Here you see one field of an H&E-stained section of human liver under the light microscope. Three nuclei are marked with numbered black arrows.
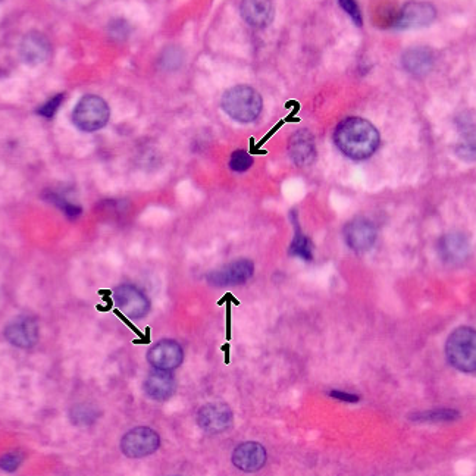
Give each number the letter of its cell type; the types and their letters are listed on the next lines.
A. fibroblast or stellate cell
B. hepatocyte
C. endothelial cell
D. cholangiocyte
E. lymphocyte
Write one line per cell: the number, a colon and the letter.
1: A
2: E
3: B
